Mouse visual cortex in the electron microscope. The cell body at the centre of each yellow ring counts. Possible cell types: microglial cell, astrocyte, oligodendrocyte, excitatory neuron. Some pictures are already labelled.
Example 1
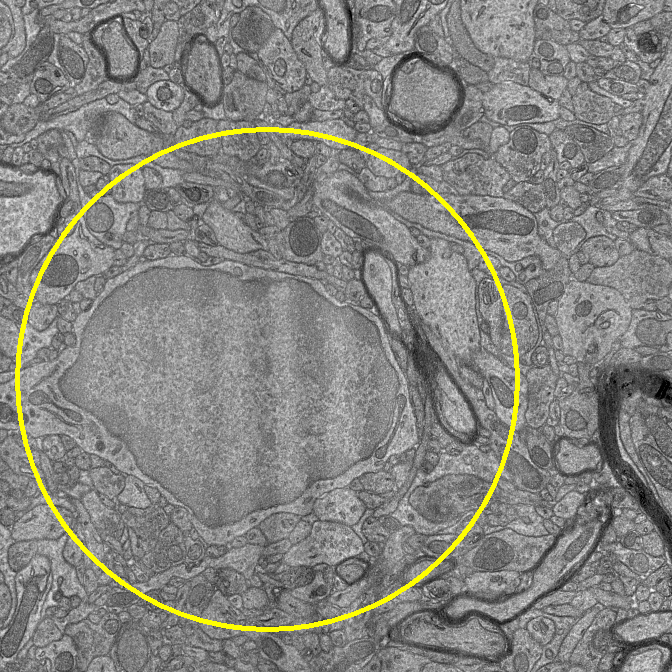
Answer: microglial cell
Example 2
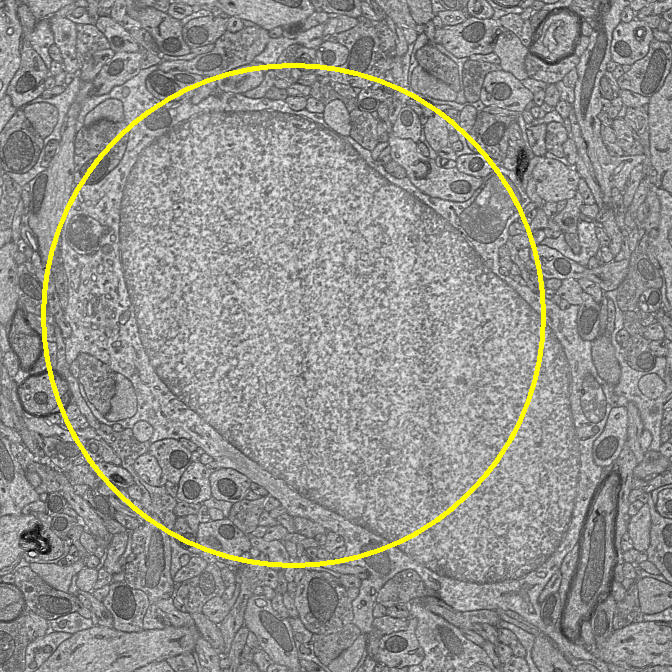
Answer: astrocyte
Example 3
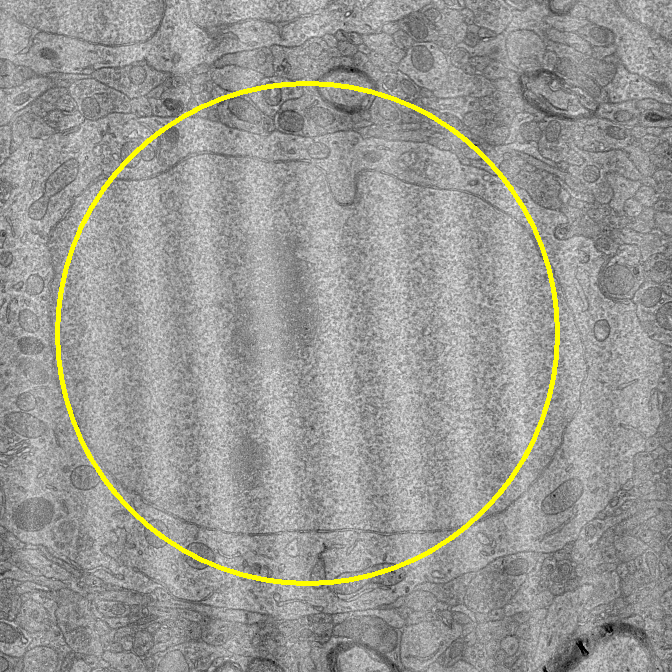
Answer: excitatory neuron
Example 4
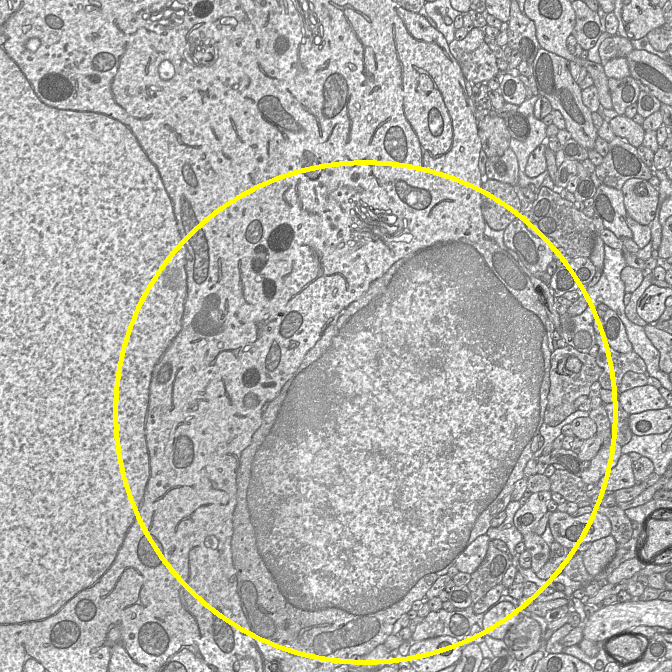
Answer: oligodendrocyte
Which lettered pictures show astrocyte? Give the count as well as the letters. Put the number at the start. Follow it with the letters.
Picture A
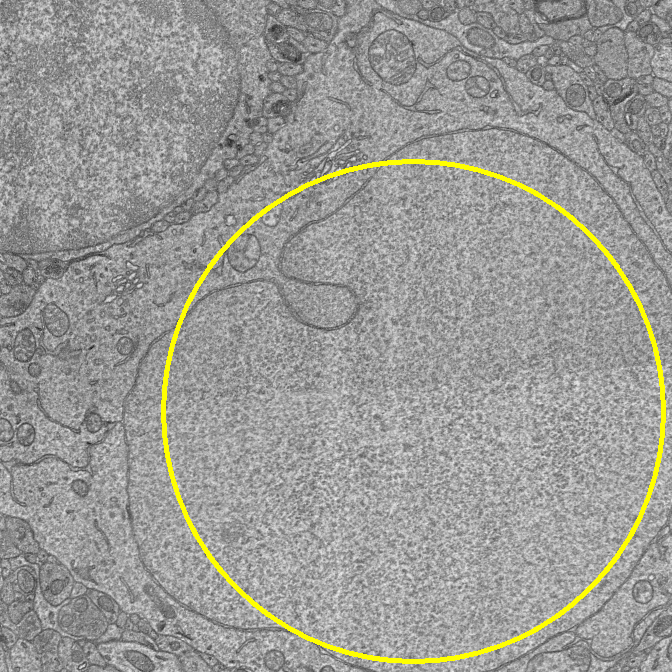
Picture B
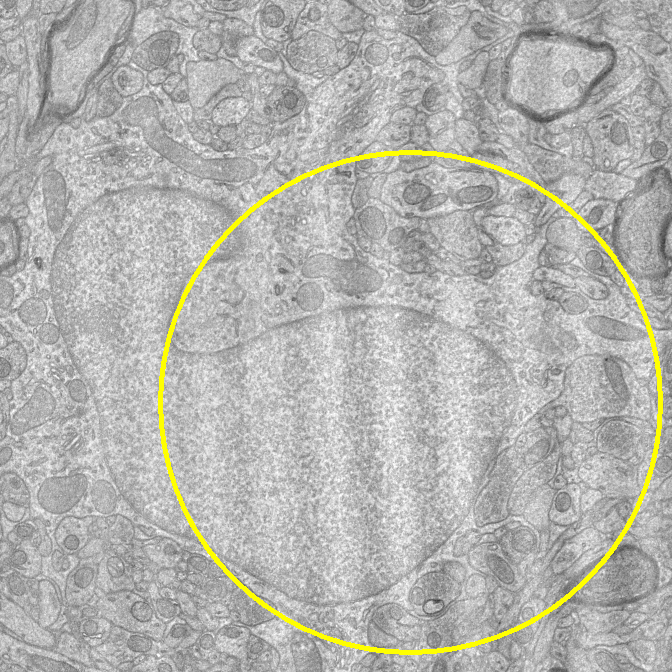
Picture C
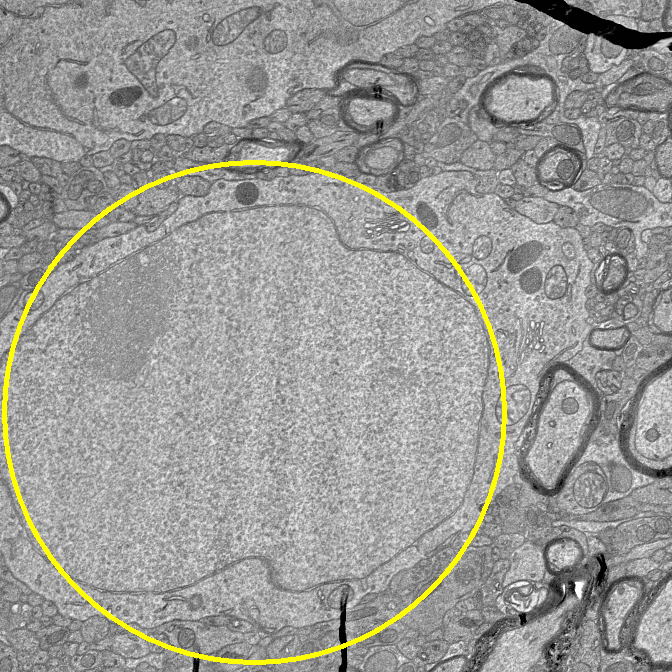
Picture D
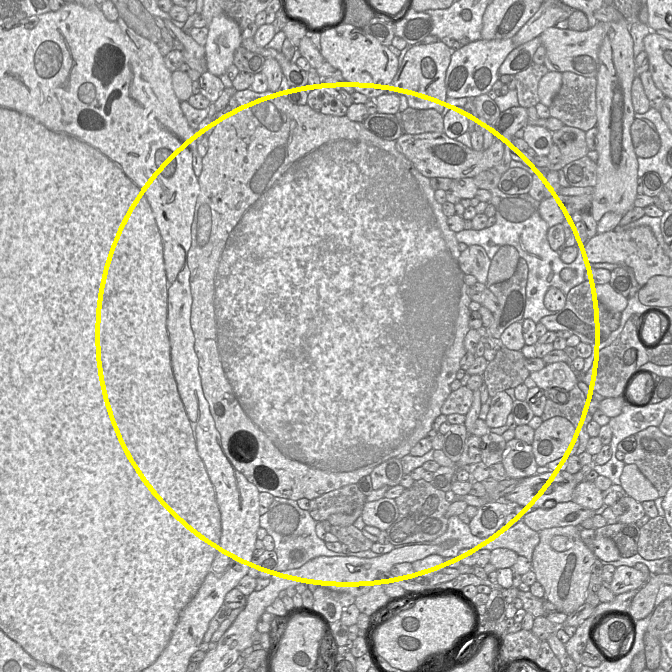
1, namely B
